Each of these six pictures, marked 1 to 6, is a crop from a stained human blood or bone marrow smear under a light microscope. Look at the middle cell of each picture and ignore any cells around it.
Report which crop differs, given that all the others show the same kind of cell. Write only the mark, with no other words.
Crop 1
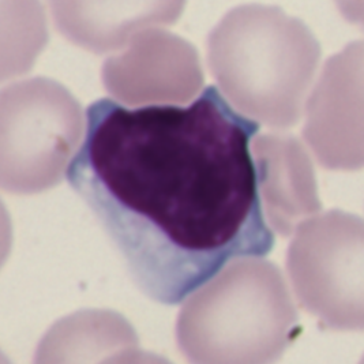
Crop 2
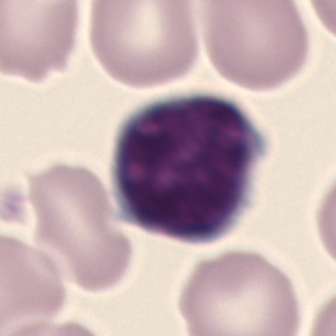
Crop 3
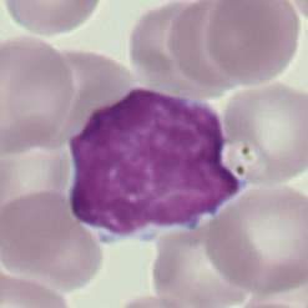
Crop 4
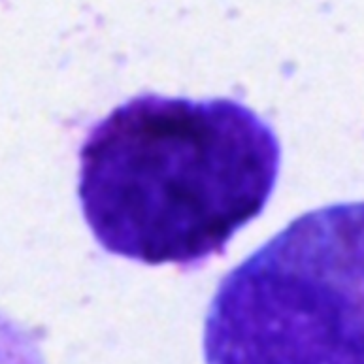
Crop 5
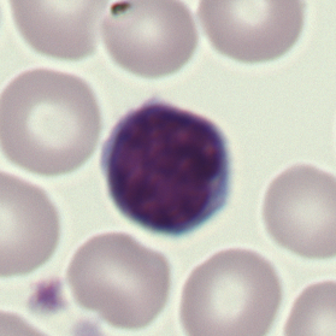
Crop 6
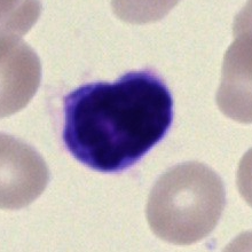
4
